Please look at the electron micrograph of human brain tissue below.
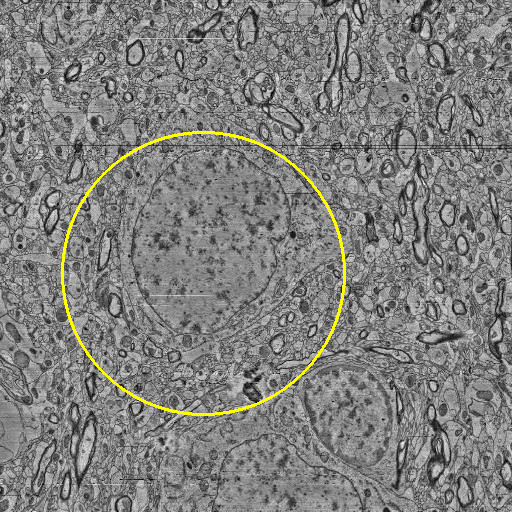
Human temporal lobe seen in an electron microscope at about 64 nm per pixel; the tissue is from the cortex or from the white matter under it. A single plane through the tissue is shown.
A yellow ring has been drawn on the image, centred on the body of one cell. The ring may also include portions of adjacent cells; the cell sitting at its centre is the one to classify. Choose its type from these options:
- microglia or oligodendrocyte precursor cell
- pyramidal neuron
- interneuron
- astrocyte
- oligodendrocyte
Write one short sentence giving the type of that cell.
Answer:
The cell in the middle of the ring is a pyramidal neuron.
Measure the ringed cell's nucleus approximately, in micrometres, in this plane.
In this plane, the nucleus of the cell at the centre of the ring measures about 13 by 10 micrometres.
